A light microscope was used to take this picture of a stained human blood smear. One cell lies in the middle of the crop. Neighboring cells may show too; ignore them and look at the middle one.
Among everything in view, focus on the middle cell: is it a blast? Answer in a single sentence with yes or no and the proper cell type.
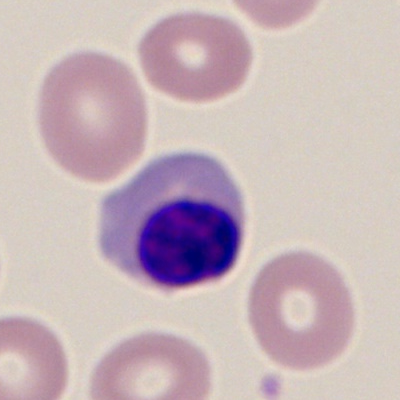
No, the middle of the crop holds a lymphocyte, not a blast.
